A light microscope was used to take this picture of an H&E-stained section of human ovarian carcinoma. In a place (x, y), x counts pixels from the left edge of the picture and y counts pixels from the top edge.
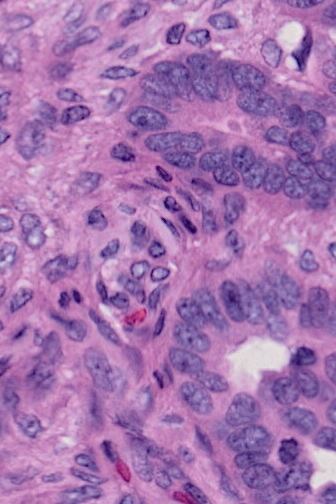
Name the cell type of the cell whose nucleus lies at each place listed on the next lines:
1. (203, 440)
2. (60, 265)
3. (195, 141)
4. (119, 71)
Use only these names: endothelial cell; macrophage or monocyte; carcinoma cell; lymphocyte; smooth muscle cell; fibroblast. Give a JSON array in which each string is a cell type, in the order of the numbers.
["fibroblast", "fibroblast", "carcinoma cell", "fibroblast"]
